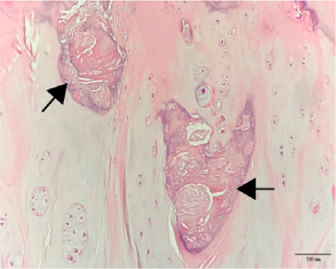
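This is cartilage tissue in which cells sit in rounded spaces within a pale pink matrix. Some of these spaces hold small groups of cells clustered together. Two large, irregular islands of denser, purplish-tinged material stand out in the matrix, each marked by an arrow. They are traversed by curved cracks and hold rounded inclusions, which gives them a nodular, layered look quite unlike the smooth matrix around them.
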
